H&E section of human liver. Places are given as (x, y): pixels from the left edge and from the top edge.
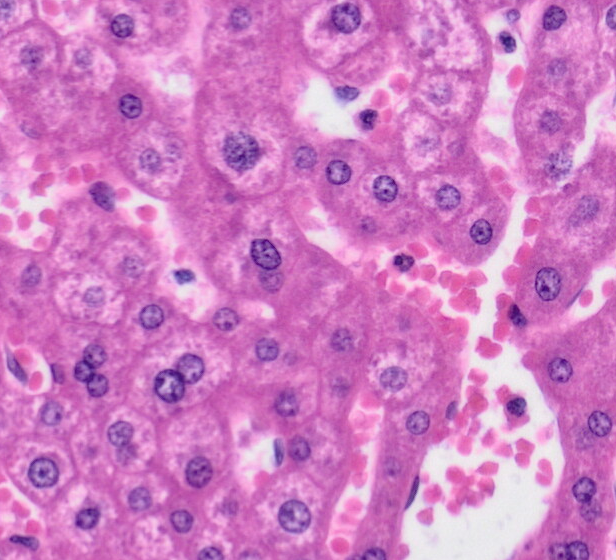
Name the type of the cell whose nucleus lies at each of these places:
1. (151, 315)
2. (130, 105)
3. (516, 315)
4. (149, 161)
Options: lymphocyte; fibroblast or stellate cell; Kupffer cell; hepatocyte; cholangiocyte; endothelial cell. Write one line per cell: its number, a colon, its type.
1: hepatocyte
2: hepatocyte
3: fibroblast or stellate cell
4: hepatocyte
